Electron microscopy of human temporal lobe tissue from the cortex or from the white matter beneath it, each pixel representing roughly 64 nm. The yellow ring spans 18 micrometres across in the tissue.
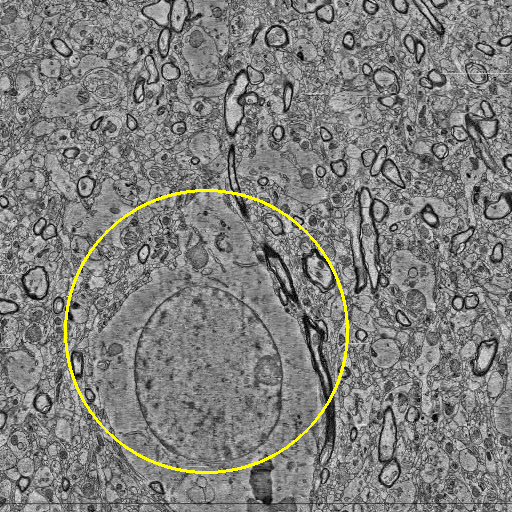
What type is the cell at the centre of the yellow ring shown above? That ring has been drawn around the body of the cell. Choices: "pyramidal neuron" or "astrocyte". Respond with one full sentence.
My answer is that an astrocyte lies at the centre of the yellow ring above.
